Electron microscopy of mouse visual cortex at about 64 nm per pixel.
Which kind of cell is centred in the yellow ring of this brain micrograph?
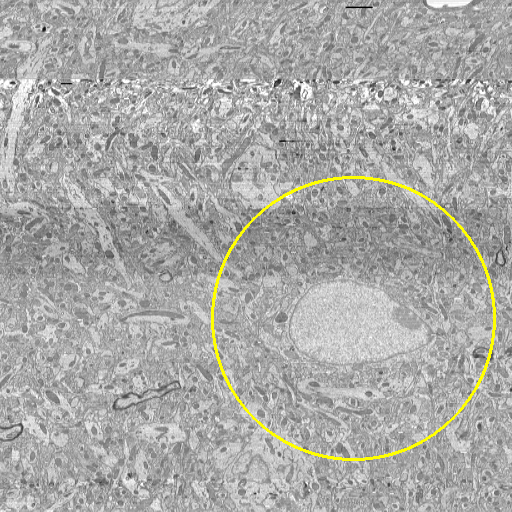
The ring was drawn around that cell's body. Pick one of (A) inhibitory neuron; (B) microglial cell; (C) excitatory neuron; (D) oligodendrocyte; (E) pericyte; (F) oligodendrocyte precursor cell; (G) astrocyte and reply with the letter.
G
